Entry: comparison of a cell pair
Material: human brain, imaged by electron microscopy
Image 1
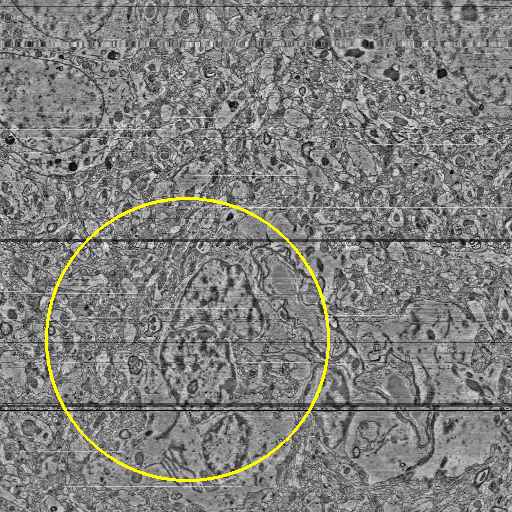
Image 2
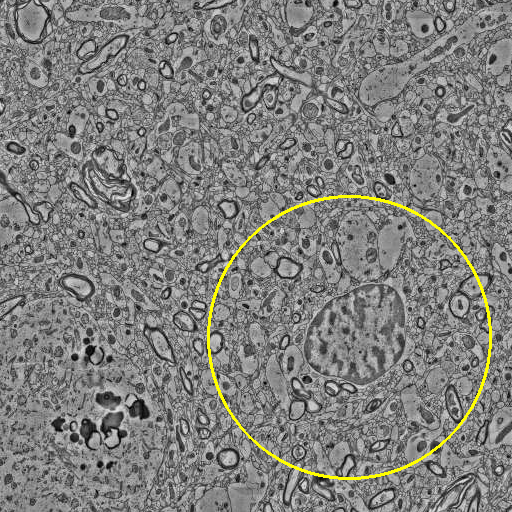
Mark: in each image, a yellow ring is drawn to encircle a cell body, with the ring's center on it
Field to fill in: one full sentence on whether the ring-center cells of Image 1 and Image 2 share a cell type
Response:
Yes, Image 1 and Image 2 each show a ring-center cell of one shared type.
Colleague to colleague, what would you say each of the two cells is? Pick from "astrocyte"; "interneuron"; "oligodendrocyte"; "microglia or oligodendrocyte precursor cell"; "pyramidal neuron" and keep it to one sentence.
Both pictures show a microglial cell or oligodendrocyte precursor cell at the centre of the ring.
